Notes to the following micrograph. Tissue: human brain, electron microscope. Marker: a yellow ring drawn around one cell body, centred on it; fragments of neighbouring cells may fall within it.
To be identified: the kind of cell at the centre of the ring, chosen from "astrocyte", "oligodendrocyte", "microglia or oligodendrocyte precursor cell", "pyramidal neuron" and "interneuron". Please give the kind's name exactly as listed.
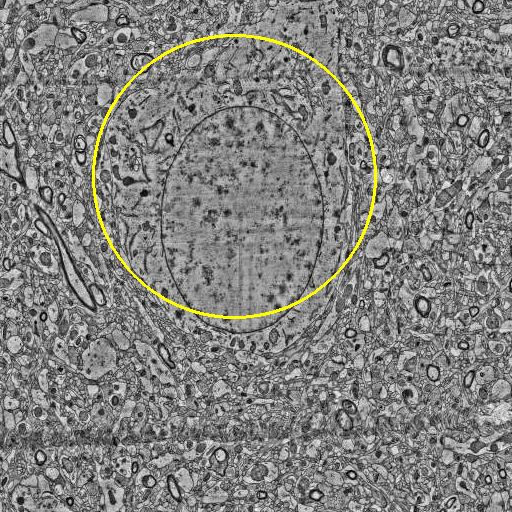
pyramidal neuron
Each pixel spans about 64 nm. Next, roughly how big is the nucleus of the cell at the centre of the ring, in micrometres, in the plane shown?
About 14 by 11 micrometers for the nucleus, in this plane.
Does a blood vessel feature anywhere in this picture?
No, the picture includes no blood vessel.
